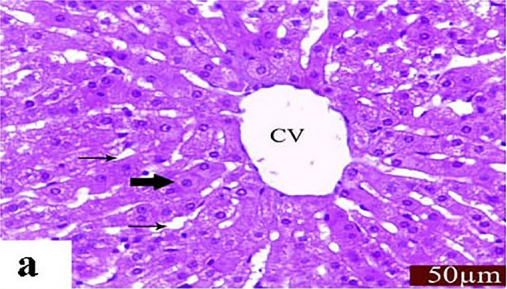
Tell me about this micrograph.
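This is liver tissue centred on a central vein, a large empty rounded space in the middle. Hepatocytes are arranged in plates, or cords, that radiate outward from the vein like spokes. The cells are polygonal with pink, finely granular cytoplasm and round, centrally placed nuclei, some with a visible nucleolus. Narrow pale clefts between the cords are the blood sinusoids, running toward the vein. The architecture is orderly with no vacuoles or collapsed areas.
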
